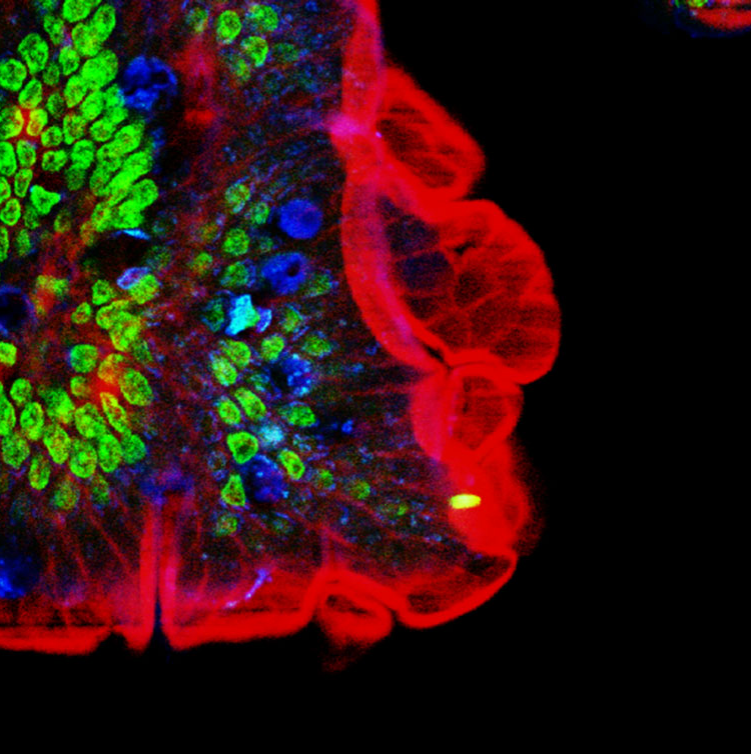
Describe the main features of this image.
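The free surface facing the lumen is lined by a bright, continuous red band that folds into scalloped outlines along the edge of the tissue. Beneath it, fainter red lines outline the borders of the closely packed epithelial cells. Oval green nuclei are crowded in rows deeper in the tissue, densest toward the left. Among them lie several rounded cells whose cytoplasm is filled with blue, standing out from the surrounding columnar cells.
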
